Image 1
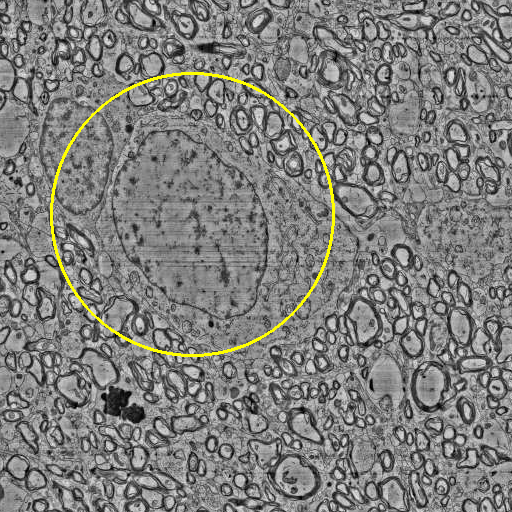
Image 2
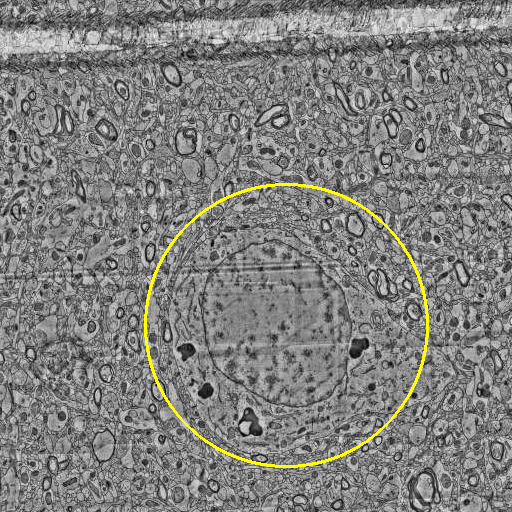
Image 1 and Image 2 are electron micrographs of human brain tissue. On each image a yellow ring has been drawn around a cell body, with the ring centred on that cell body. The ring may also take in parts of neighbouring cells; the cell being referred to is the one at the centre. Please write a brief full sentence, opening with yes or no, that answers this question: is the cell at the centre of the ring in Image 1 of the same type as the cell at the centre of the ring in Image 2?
Yes, both cells are of the same type.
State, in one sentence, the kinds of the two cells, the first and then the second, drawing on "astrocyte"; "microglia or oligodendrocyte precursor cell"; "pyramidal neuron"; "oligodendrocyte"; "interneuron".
Each cell, in the first picture and the second, is a pyramidal neuron.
